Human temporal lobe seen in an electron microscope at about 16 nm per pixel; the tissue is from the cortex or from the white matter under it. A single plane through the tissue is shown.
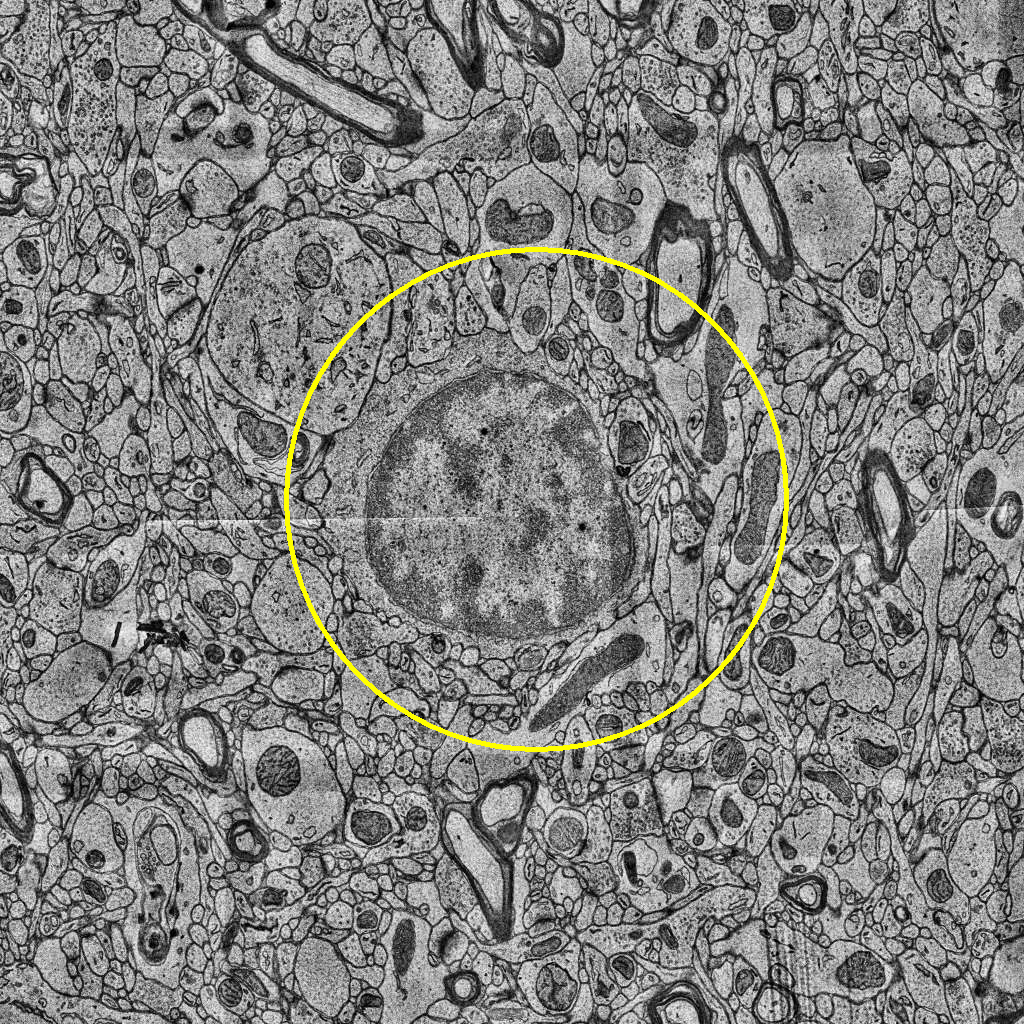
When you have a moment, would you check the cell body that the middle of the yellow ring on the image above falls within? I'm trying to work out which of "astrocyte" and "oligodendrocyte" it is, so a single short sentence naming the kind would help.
This cell body belongs to an oligodendrocyte.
